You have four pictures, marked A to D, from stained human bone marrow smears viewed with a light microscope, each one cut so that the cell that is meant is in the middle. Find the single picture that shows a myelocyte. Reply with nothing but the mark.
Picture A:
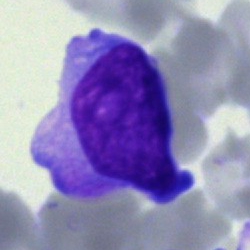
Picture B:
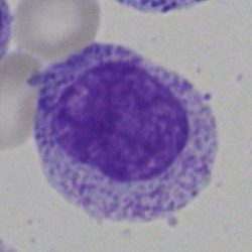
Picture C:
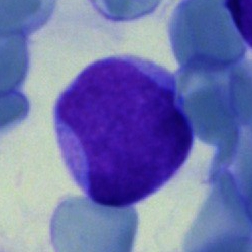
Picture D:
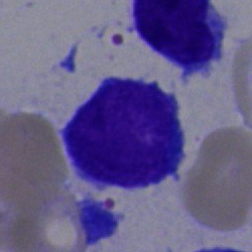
B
